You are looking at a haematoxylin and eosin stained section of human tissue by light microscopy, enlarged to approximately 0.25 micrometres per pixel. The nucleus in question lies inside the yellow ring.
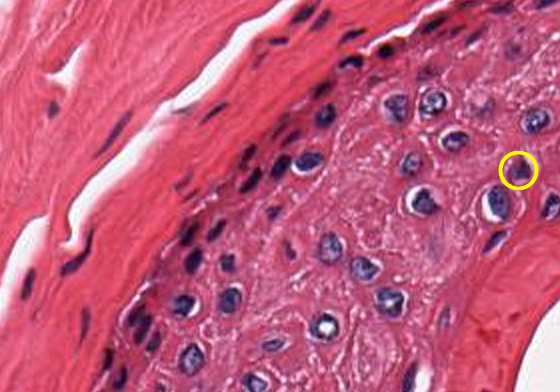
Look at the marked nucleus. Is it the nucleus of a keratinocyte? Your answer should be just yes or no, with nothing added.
yes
